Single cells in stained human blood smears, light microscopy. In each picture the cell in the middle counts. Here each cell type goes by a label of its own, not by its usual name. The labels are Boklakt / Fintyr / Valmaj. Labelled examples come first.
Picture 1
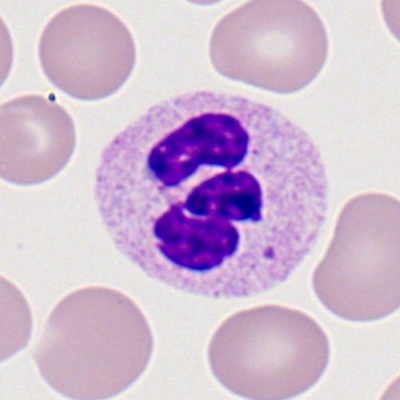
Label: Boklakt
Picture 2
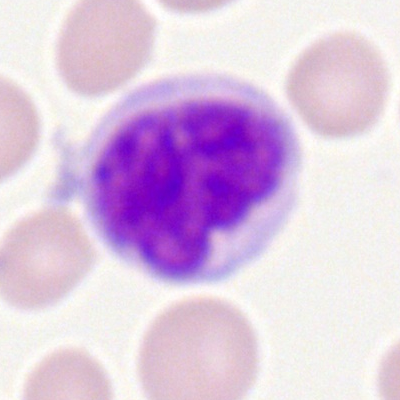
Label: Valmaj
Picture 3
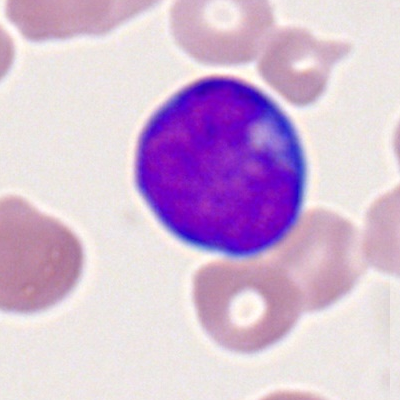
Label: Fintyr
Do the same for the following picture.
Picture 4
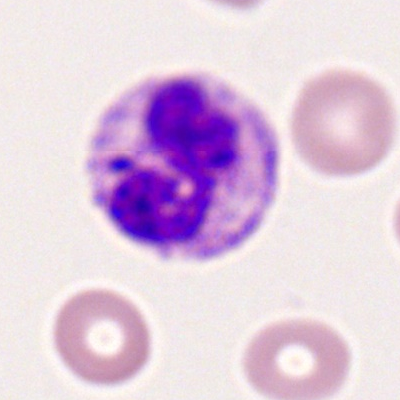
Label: Boklakt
